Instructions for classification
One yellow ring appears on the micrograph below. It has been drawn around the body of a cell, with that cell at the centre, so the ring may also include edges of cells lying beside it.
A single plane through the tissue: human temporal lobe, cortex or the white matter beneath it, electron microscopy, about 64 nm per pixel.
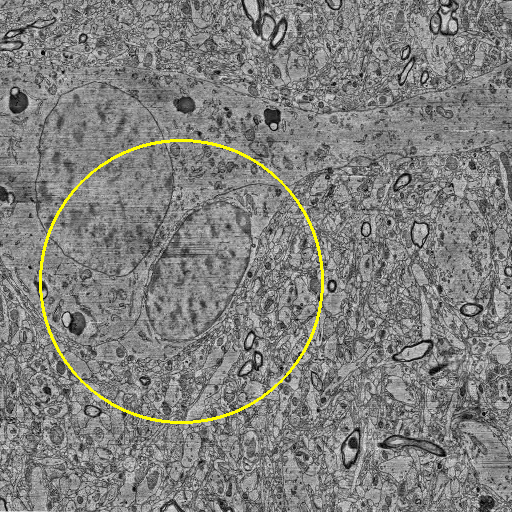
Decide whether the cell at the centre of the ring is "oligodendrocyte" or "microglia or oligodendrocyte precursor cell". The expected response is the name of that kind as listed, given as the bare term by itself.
microglia or oligodendrocyte precursor cell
